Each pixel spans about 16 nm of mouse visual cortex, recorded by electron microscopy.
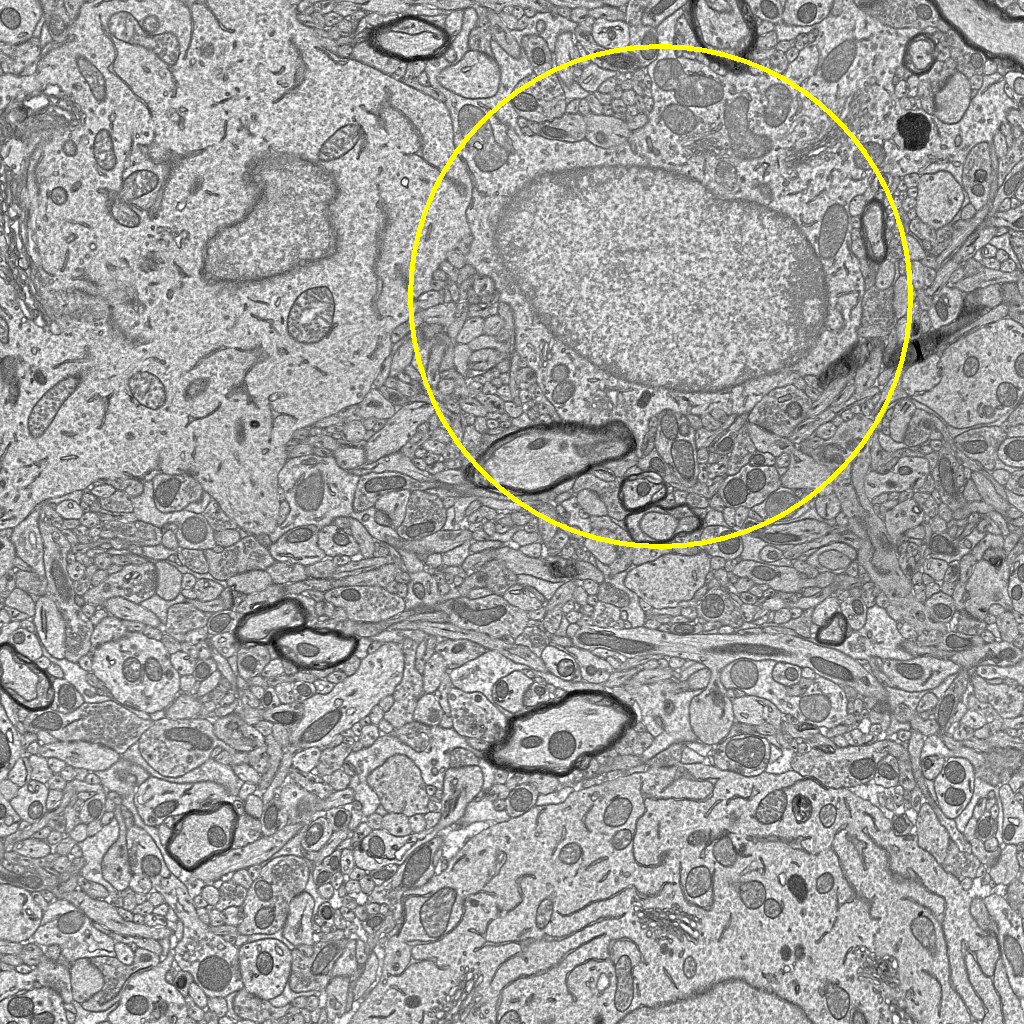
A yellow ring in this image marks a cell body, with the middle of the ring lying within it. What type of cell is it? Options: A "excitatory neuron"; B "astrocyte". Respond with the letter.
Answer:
B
